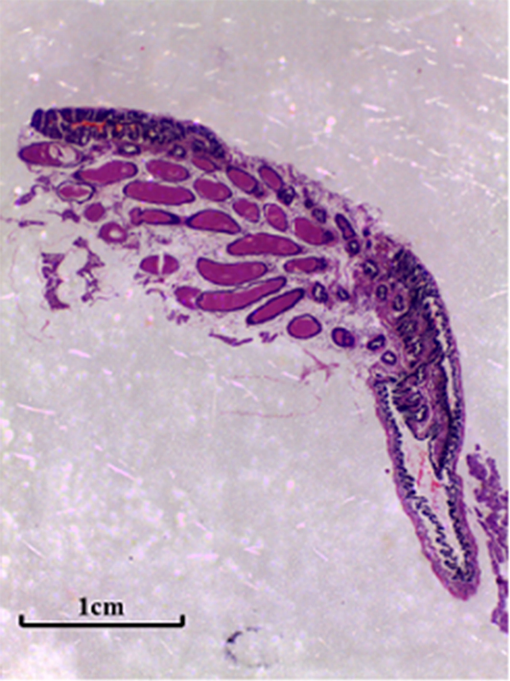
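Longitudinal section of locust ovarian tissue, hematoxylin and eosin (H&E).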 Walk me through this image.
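The section forms a curved strip. Along its upper and right margin runs a dense, deeply purple, much-folded layer of tightly packed cells that tapers into a narrow tail at the lower right. Beneath it lie many oval bodies packed side by side in oblique rows; each has homogeneous pink-magenta content and a thin darker rim. Smaller, darker rounded profiles sit among them near the folded layer. Loose, pale, wispy material trails off at the left edge.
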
